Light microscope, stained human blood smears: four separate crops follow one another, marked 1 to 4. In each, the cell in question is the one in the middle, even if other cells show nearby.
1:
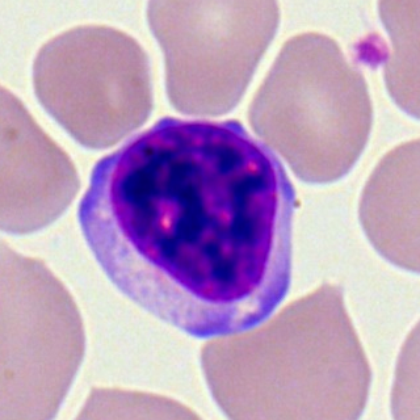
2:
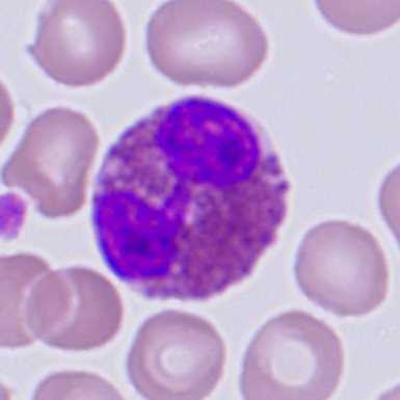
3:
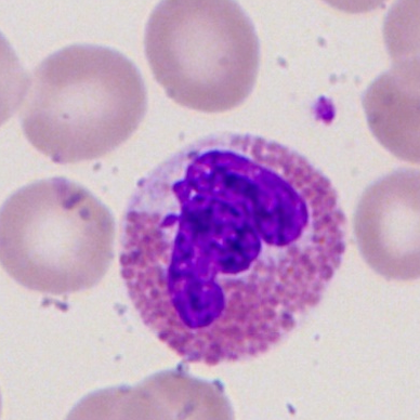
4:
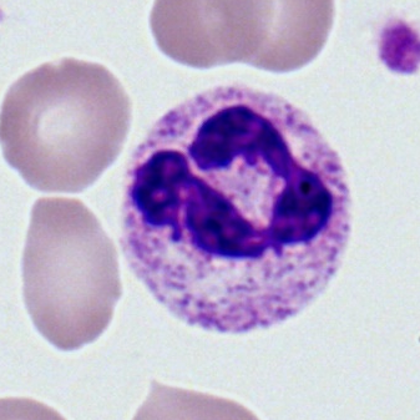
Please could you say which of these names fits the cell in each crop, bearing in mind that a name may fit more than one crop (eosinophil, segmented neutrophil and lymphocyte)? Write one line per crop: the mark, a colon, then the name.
1: lymphocyte
2: eosinophil
3: eosinophil
4: segmented neutrophil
